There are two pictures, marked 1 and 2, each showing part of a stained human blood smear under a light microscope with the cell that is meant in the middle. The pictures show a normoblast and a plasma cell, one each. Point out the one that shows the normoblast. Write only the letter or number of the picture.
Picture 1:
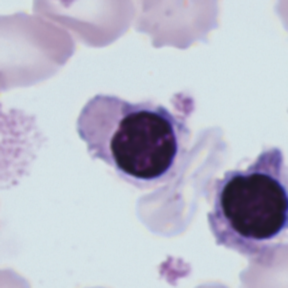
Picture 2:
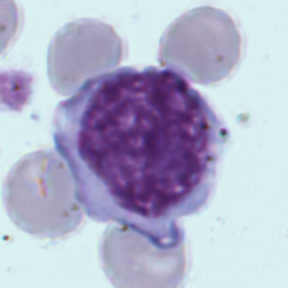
1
